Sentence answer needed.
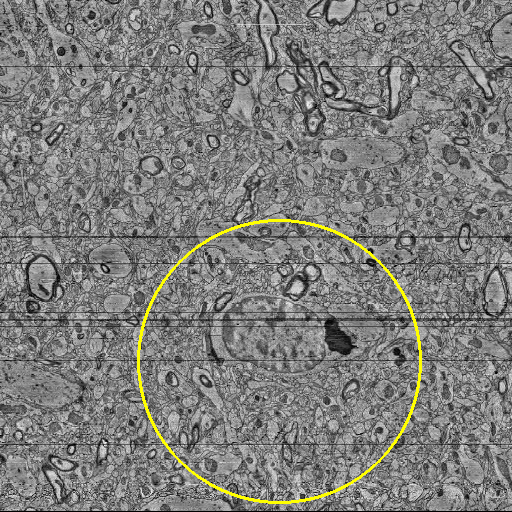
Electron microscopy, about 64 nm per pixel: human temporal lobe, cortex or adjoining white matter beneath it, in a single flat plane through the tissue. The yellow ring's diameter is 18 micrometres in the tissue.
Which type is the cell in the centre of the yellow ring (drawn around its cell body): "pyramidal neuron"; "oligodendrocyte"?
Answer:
In the centre of the yellow ring is an oligodendrocyte.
